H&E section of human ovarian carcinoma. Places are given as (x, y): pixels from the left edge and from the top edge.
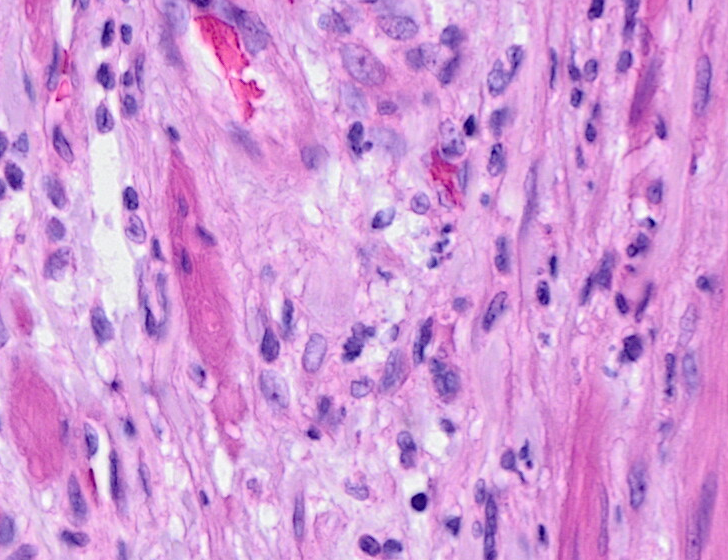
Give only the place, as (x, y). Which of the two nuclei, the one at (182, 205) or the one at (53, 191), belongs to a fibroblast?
(53, 191)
